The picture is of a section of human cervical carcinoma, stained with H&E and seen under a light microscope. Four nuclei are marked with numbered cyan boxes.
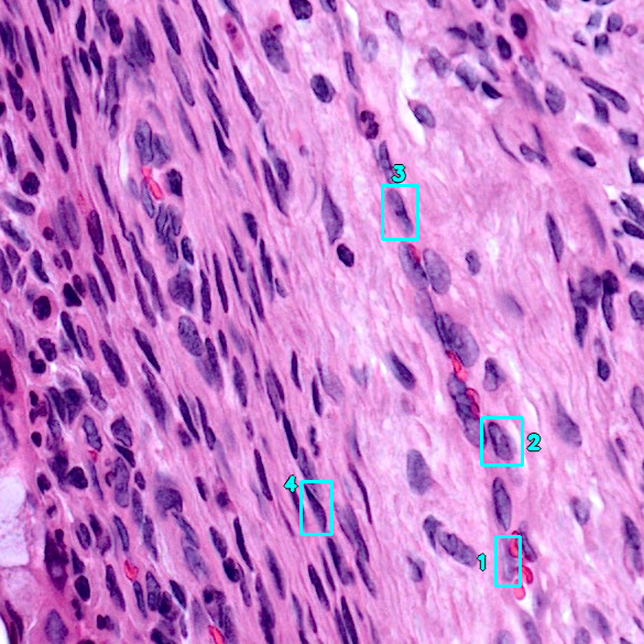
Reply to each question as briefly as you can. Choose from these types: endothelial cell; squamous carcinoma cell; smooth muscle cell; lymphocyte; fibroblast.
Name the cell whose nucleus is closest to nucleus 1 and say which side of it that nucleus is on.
an endothelial cell above and to the right of nucleus 1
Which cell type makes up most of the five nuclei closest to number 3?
endothelial cell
